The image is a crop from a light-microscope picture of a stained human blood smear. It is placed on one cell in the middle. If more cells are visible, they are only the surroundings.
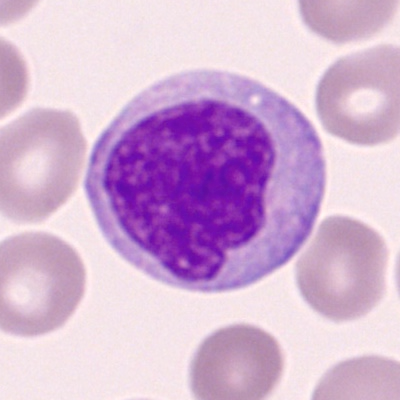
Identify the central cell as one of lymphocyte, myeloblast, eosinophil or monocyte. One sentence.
The cell under consideration, at the middle of the crop, is a myeloblast.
